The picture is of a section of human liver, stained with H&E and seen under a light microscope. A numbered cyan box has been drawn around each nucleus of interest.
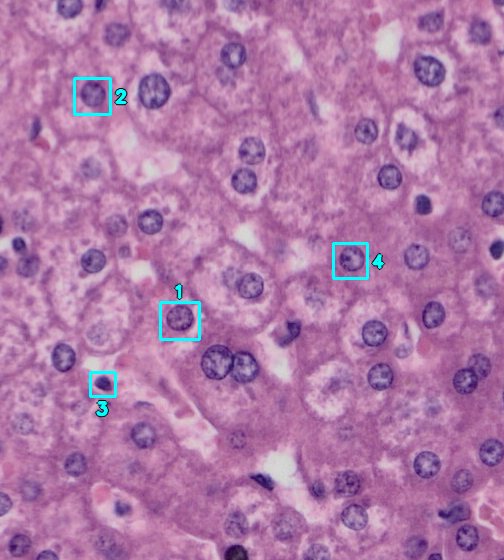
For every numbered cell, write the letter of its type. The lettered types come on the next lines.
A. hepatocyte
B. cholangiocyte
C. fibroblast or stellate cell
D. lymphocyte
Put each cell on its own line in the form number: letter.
1: A
2: A
3: D
4: A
